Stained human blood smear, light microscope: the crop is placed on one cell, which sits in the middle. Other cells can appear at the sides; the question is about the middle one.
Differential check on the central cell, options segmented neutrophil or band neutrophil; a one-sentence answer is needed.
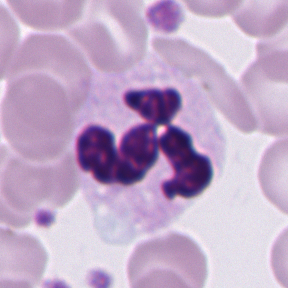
The center cell of this crop is a segmented neutrophil.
